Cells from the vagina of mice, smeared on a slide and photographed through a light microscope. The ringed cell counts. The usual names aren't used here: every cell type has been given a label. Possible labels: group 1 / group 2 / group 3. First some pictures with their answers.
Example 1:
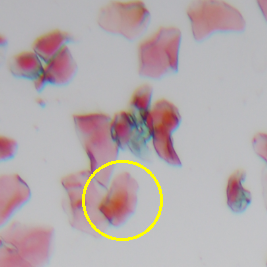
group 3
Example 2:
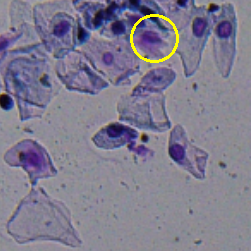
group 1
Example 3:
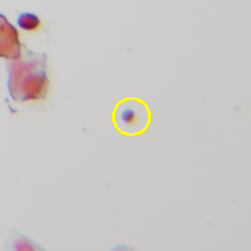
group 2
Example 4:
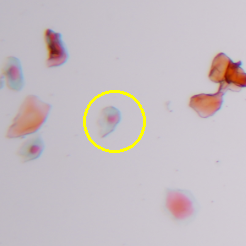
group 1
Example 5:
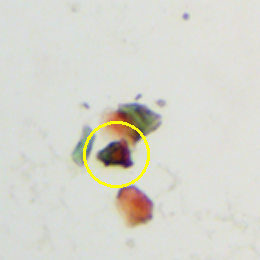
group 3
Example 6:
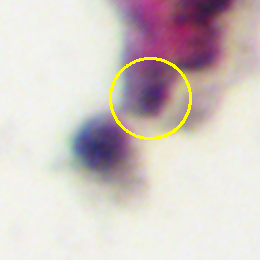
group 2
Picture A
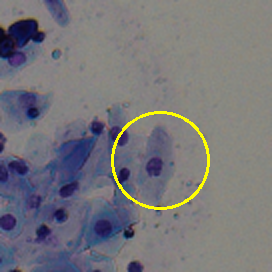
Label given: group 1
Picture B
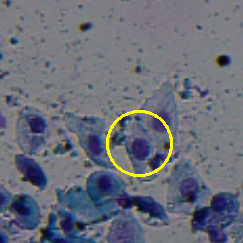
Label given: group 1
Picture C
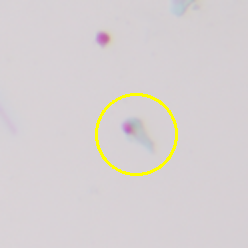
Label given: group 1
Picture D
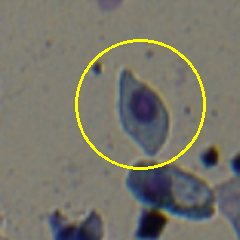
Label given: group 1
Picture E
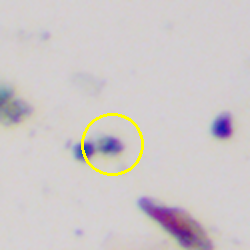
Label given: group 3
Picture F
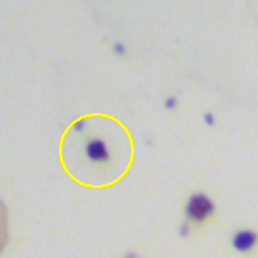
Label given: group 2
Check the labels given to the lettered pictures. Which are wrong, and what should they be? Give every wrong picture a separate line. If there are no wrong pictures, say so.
E: group 2, not group 3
